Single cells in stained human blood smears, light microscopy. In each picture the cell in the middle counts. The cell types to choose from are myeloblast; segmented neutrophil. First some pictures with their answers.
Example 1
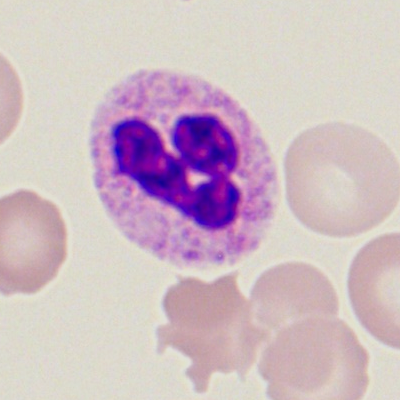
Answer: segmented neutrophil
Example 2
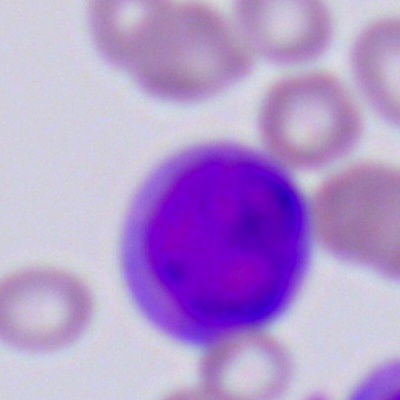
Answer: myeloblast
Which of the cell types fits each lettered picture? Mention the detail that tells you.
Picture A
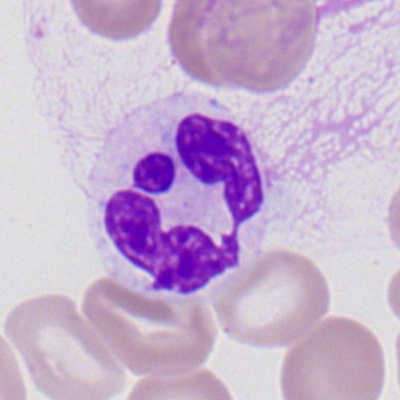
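segmented neutrophil. Evidence: The nucleus is divided into several separate lobes.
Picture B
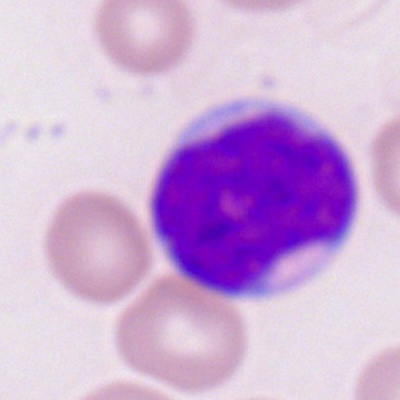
myeloblast. Evidence: The cytoplasm is a scant, pale blue rim around the nucleus.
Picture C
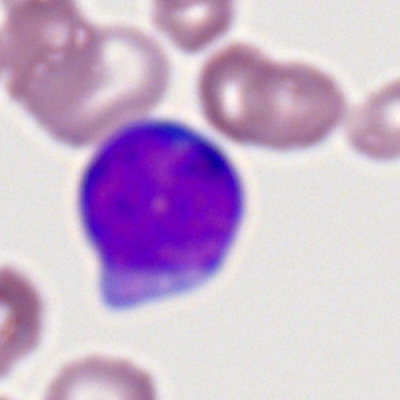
myeloblast. Evidence: Cytoplasm is scant, seen mainly in the small bulge at the lower left.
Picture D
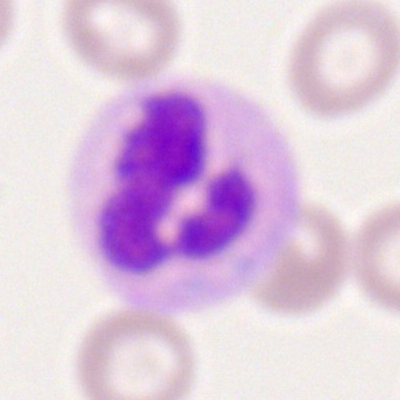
segmented neutrophil. Evidence: The nucleus is divided into three lobes.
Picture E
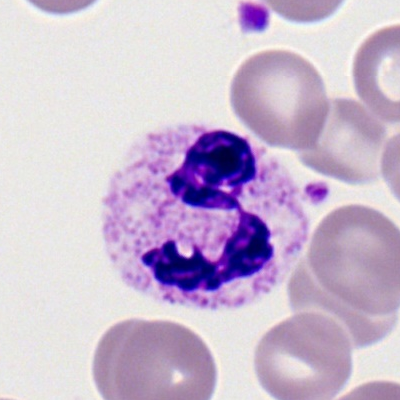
segmented neutrophil. Evidence: The nucleus is lobed, with an upper part joined to a lower part by a thin strand.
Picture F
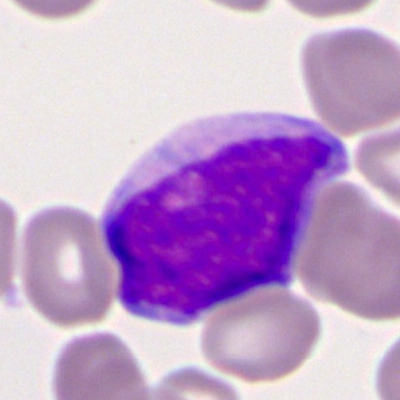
myeloblast. Evidence: The nucleus fills most of the cell.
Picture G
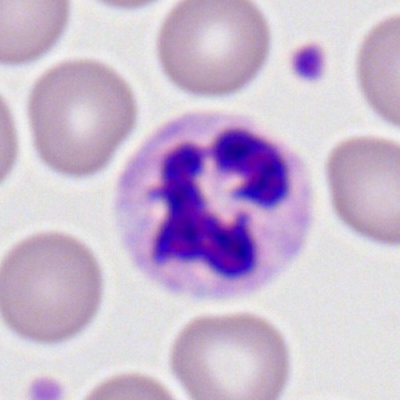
segmented neutrophil. Evidence: The nucleus is divided into several irregular lobes.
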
